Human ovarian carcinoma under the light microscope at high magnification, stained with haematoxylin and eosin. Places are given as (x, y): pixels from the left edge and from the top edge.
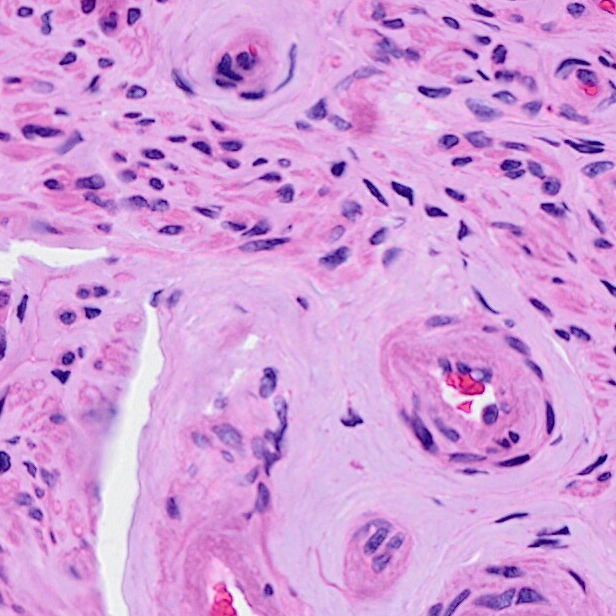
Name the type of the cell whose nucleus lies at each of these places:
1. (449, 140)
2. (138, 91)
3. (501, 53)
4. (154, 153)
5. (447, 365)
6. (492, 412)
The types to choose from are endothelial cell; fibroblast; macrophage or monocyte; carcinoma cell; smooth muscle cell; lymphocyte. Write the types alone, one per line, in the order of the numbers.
smooth muscle cell
smooth muscle cell
smooth muscle cell
smooth muscle cell
endothelial cell
endothelial cell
